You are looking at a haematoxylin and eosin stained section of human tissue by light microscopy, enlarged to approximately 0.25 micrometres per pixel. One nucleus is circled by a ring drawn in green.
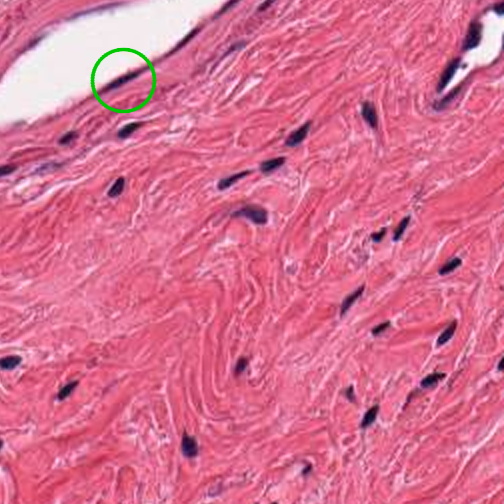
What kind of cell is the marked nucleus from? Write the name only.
endothelial cell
